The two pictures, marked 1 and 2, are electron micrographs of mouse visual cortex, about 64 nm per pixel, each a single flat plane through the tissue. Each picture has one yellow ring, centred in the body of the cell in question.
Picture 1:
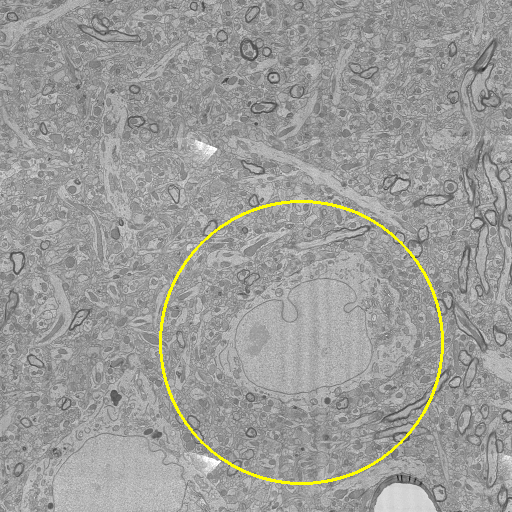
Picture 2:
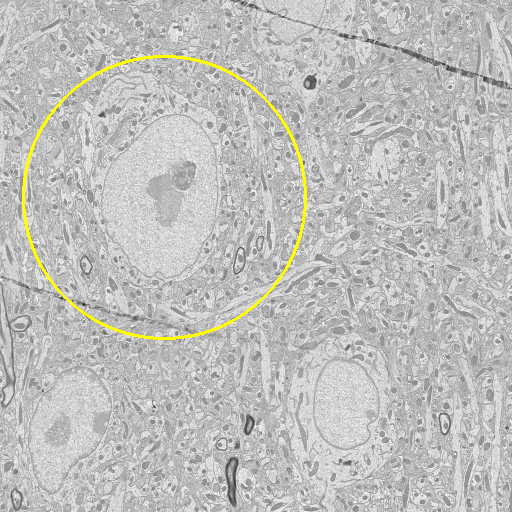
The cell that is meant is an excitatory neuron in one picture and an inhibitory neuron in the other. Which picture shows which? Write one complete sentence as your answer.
Picture 1 is of an excitatory neuron, and picture 2 is of an inhibitory neuron.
